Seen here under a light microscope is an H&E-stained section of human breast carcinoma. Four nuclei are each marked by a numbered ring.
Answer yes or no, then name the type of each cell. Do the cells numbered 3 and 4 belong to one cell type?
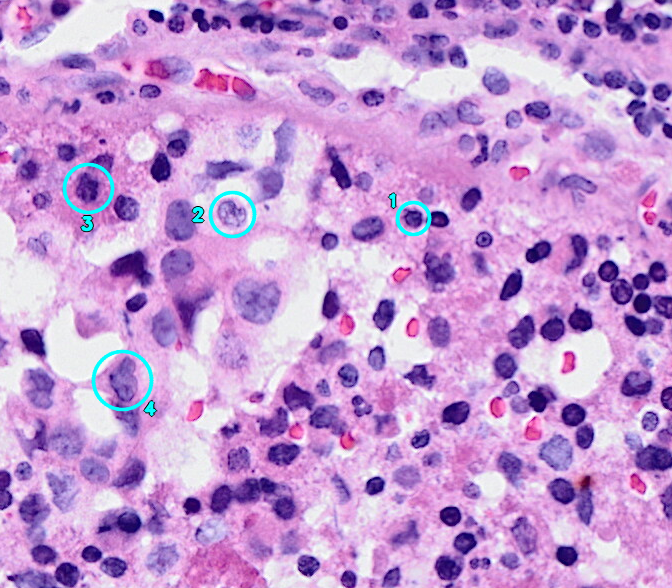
Yes, each of the two cells, 3 and 4, is among the carcinoma cells.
